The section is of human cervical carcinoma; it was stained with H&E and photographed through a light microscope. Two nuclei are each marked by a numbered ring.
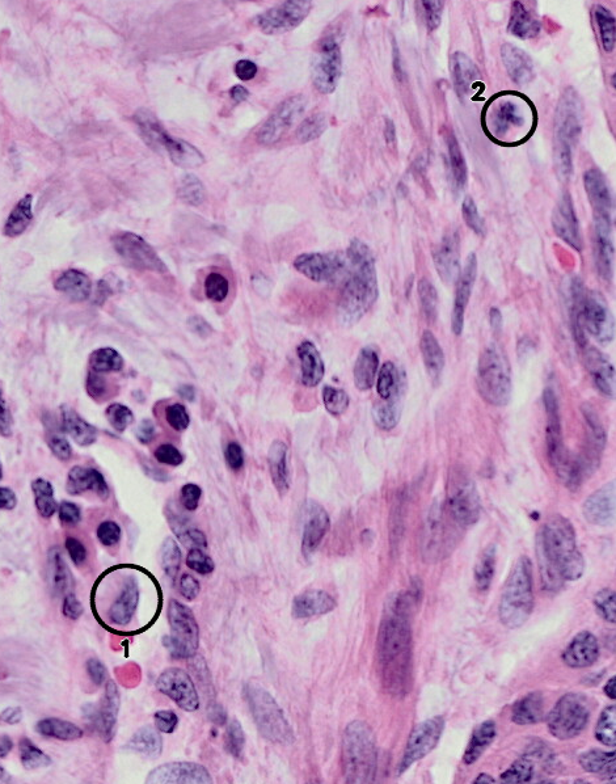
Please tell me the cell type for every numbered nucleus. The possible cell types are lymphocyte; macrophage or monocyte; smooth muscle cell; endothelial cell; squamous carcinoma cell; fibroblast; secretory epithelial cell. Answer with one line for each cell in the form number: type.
1: endothelial cell
2: lymphocyte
